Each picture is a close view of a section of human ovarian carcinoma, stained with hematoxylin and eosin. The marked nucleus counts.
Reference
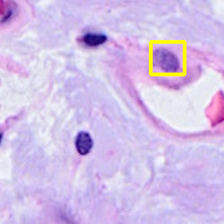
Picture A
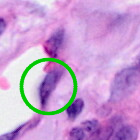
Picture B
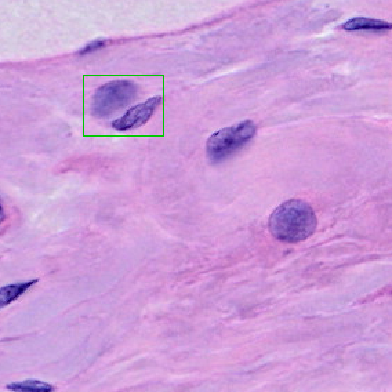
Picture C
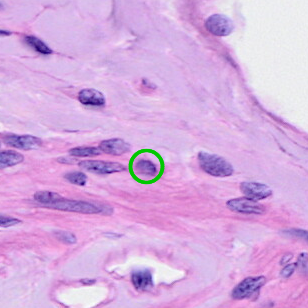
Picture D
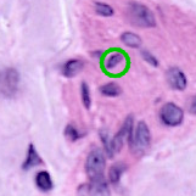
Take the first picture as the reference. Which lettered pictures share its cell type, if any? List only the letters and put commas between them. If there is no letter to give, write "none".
A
